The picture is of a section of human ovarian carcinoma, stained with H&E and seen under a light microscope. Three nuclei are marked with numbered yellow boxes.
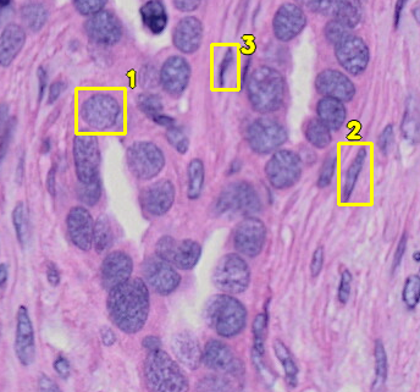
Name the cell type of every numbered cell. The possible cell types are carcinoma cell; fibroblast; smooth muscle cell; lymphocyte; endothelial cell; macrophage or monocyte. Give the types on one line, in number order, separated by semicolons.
carcinoma cell; fibroblast; fibroblast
